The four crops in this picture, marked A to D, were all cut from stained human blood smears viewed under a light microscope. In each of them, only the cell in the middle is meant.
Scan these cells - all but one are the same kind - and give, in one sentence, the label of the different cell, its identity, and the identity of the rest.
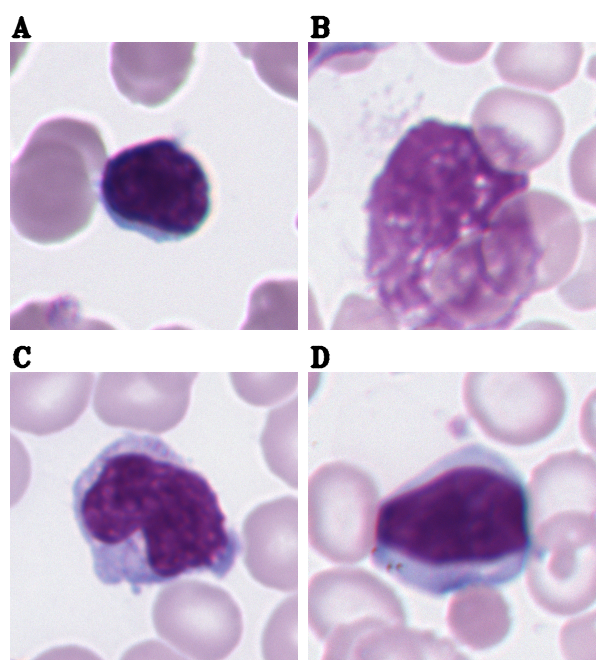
What sets crop B apart is that it shows a smudge cell, while the others show typical lymphocytes.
